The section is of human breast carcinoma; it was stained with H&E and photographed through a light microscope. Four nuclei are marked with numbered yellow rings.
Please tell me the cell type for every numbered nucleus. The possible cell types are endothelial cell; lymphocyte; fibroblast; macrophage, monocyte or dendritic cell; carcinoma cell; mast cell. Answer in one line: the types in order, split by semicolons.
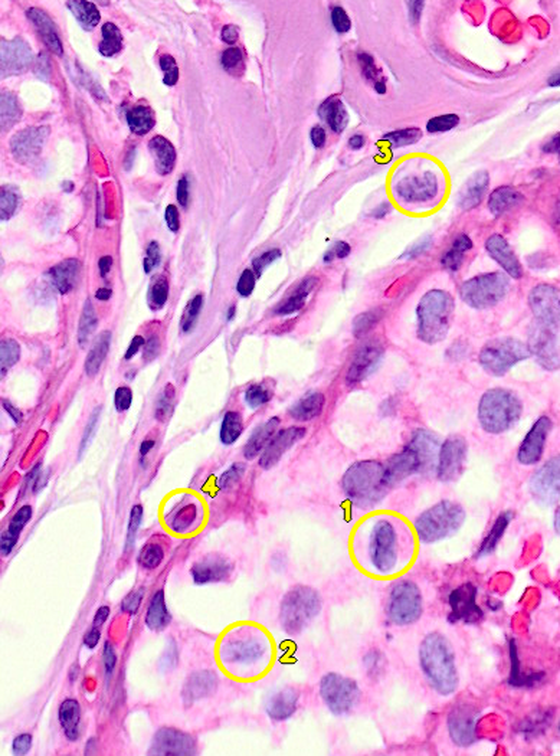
carcinoma cell; carcinoma cell; macrophage, monocyte or dendritic cell; endothelial cell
